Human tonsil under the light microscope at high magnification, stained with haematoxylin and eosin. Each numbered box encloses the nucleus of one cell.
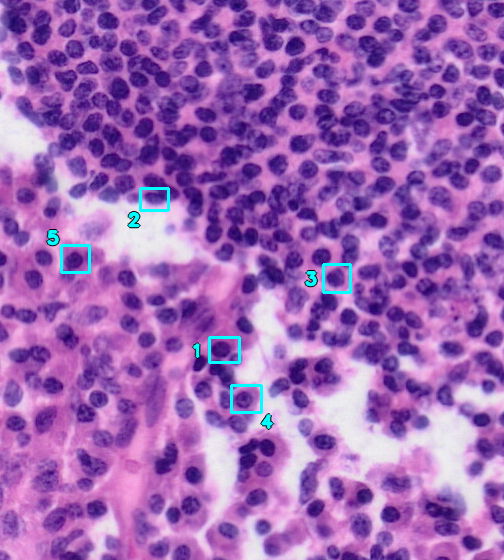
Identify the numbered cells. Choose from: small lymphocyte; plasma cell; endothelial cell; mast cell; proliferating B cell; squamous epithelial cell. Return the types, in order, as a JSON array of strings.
["plasma cell", "small lymphocyte", "small lymphocyte", "plasma cell", "plasma cell"]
